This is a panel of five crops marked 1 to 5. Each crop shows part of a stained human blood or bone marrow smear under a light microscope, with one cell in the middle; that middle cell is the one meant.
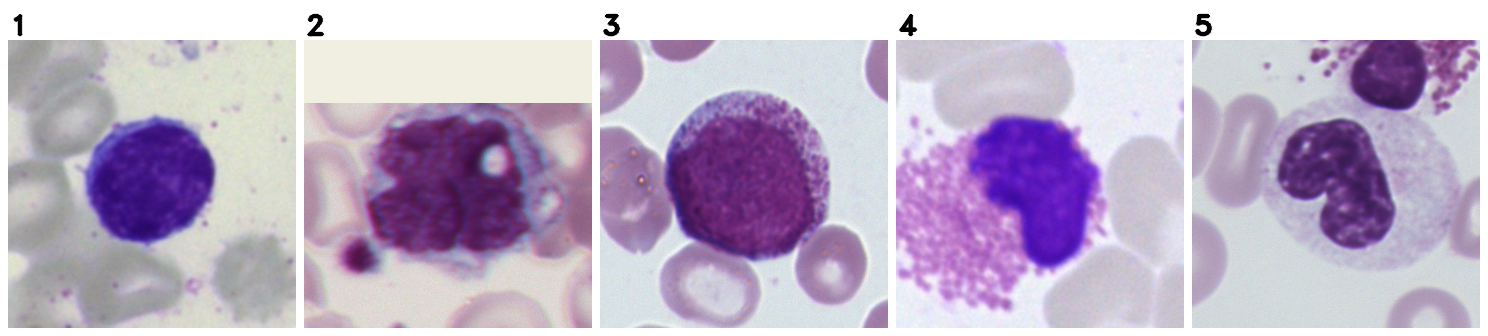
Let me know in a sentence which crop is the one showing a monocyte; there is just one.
It is in crop 2, among all the crops, that a monocyte is present.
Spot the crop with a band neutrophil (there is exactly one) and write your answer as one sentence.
Of the crops shown, crop 5 depicts a band neutrophil.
